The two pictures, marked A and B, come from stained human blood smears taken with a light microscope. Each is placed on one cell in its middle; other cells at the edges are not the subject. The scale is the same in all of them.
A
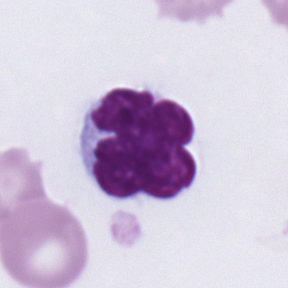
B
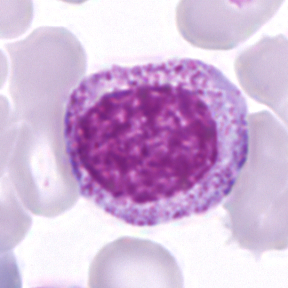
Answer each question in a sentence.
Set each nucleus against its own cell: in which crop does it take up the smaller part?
In crop B the nucleus takes up the smaller part of its cell.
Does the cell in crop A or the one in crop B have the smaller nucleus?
Smaller is the nucleus in crop A, and the other is about 1.5 times as large in area.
